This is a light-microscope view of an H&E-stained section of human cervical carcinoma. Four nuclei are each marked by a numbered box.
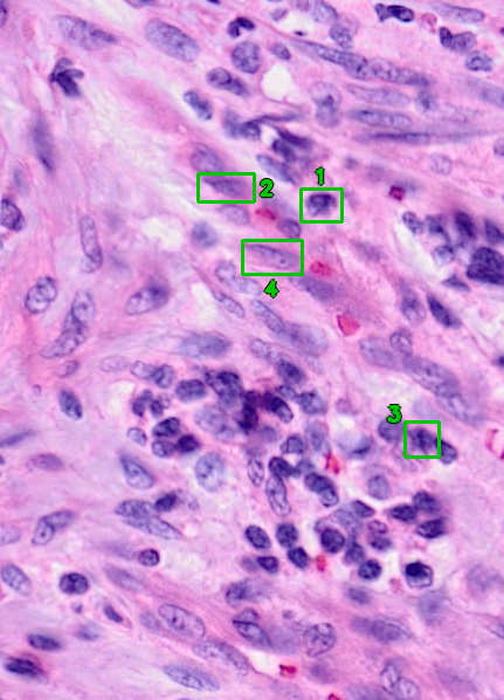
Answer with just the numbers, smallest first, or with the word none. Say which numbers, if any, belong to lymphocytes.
1, 3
